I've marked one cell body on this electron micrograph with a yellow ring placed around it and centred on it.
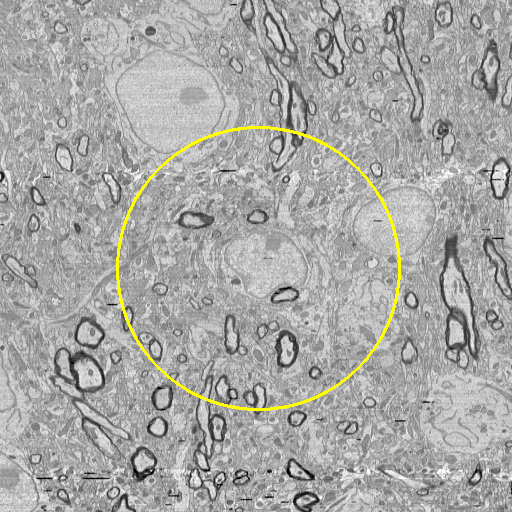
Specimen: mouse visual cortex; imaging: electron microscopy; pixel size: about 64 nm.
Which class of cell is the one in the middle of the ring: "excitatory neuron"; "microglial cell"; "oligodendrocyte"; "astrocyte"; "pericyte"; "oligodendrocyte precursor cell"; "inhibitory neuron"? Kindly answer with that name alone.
oligodendrocyte precursor cell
